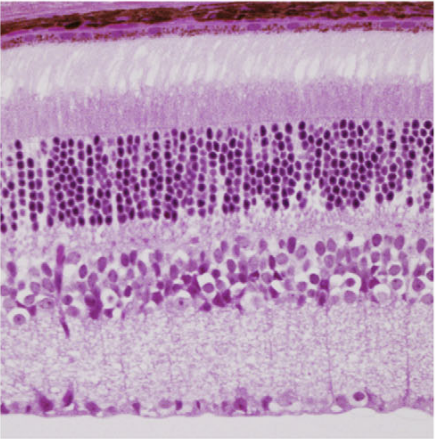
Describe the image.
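This is a cross-section of a retina showing its orderly layers from the pigmented layer at the top to the inner surface at the bottom. Beneath a dark brown pigmented band lies a pale pink, finely striated band of photoreceptor outer segments. Below this is a thick outer nuclear layer of many rows of small, round, densely packed dark purple nuclei. A thin pale fibrous band separates it from the inner nuclear layer, whose nuclei are larger, paler and more varied in shape. Under a broad, pale, mesh-like plexiform layer, a single row of cells forms the ganglion cell layer at the inner surface.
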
